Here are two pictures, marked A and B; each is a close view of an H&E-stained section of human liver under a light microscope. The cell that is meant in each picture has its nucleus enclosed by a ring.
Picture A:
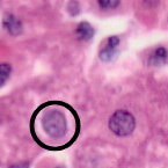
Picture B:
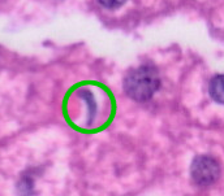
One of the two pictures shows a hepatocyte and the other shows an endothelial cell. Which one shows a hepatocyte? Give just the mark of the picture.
A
